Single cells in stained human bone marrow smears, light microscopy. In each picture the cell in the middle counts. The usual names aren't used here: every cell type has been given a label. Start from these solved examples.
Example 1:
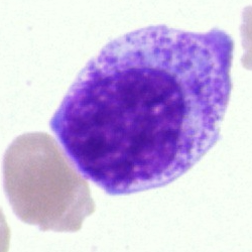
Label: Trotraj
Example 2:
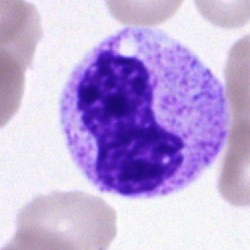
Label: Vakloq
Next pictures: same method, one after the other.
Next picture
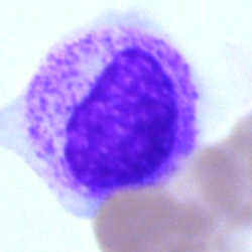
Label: Trotraj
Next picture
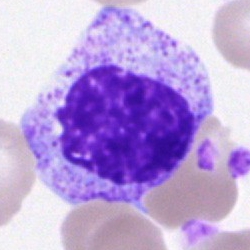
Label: Trotraj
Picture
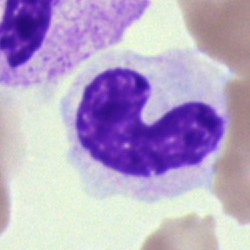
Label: Vakloq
